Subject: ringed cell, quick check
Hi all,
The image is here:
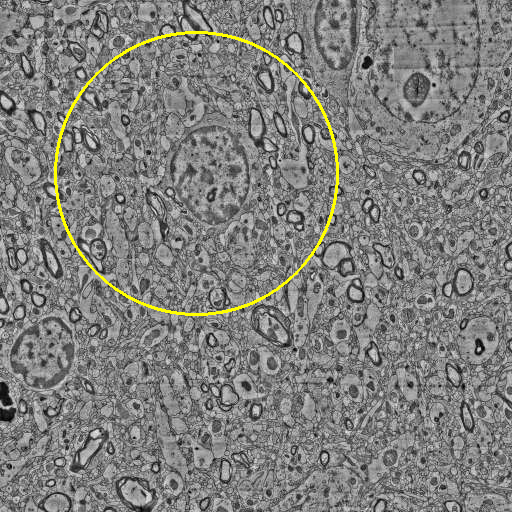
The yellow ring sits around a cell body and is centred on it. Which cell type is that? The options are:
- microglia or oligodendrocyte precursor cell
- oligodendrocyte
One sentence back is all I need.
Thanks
That ringed cell is an oligodendrocyte.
